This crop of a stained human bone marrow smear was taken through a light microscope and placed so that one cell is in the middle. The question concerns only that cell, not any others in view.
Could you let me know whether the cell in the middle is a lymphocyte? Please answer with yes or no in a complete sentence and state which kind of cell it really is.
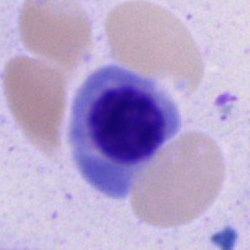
No, the cell in the middle is categorised as an erythroblast, not a lymphocyte.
